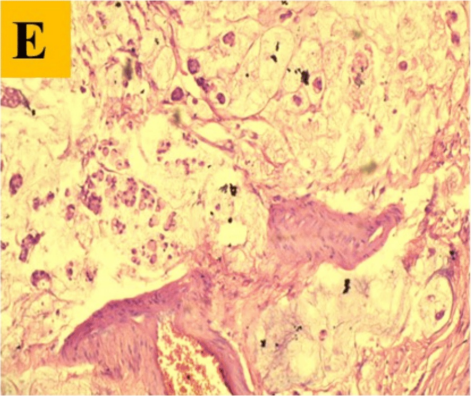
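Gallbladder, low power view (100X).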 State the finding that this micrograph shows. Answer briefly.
mucinous adenocarcinoma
